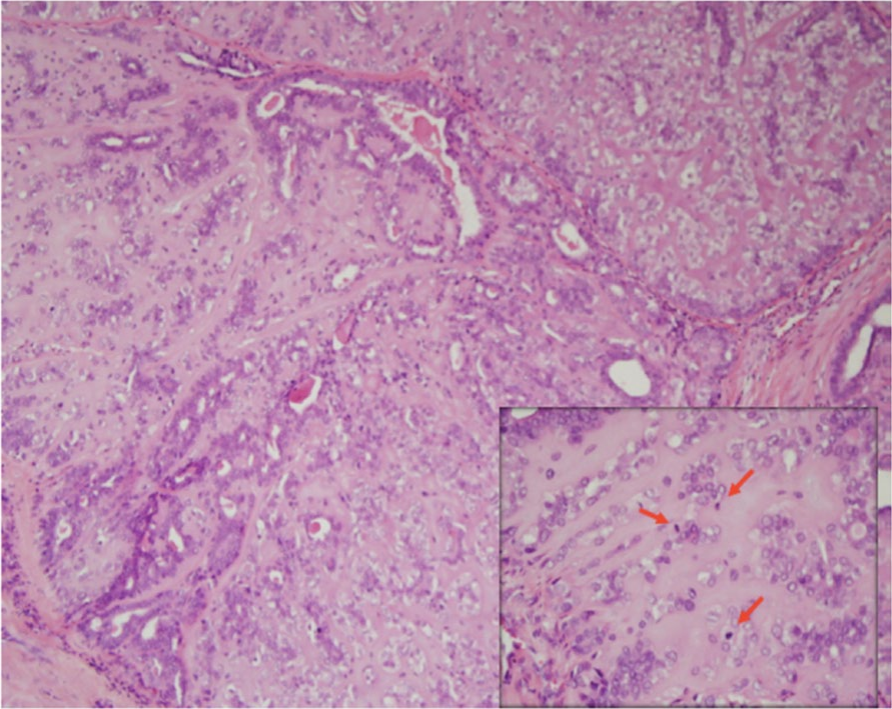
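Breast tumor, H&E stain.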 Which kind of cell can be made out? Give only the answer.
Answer: atypical myoepithelial cells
